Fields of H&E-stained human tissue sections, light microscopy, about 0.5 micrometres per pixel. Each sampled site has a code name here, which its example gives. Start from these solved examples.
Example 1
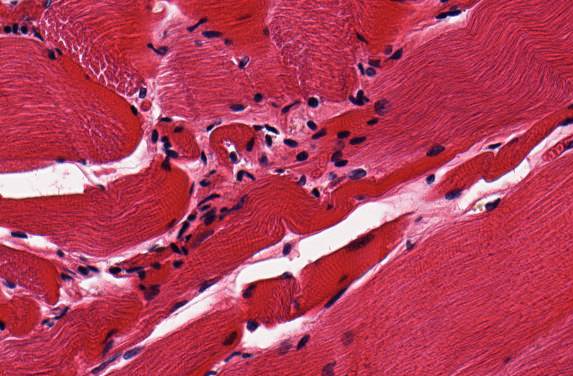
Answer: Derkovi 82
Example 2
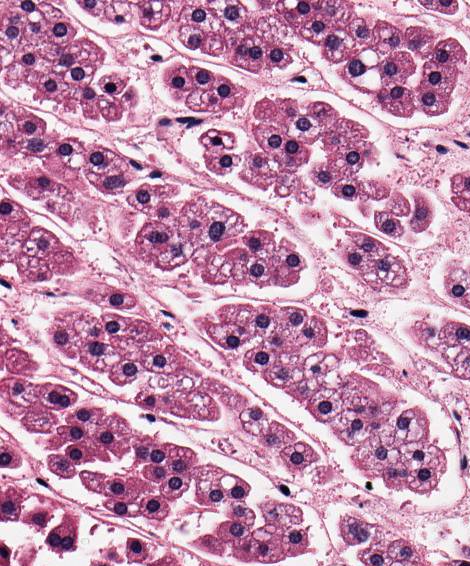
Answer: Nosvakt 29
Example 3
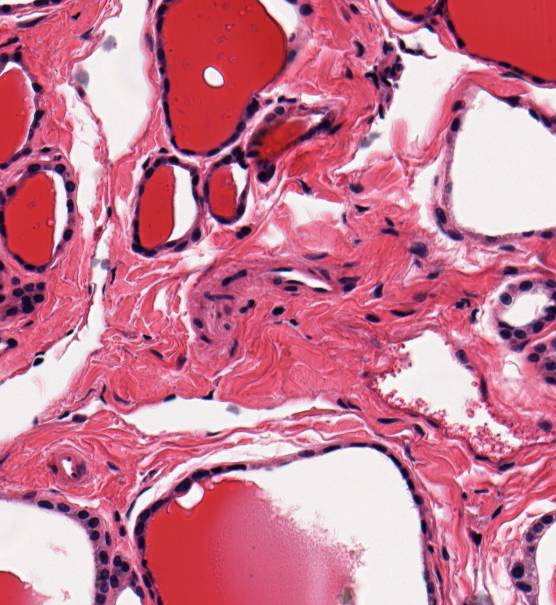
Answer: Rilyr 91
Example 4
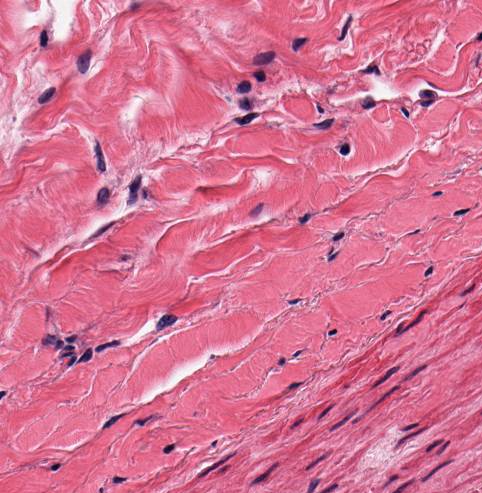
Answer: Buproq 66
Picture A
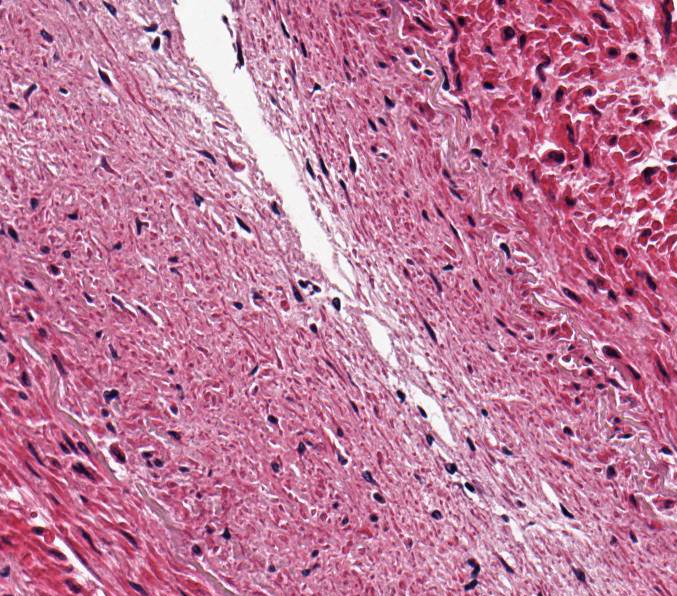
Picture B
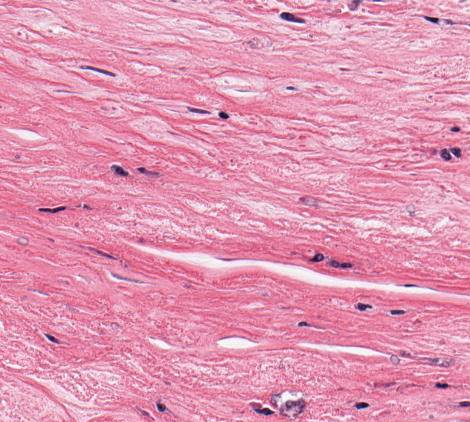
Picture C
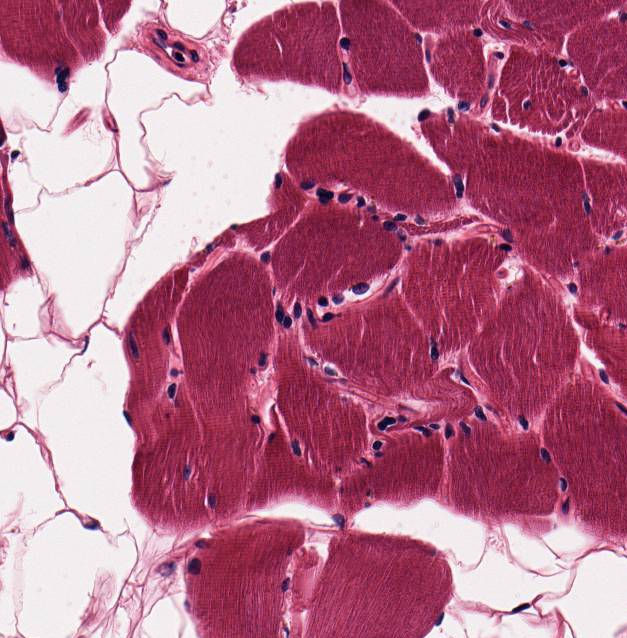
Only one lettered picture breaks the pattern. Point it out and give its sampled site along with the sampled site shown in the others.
C (Derkovi 82) is the exception; every other picture is Buproq 66.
